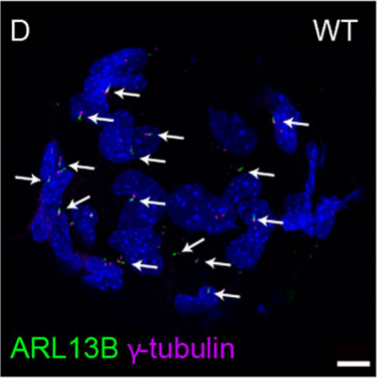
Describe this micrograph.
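Many cells carry a short green primary cilium, appearing as a tiny rod beside its nucleus. Small magenta dots, the basal bodies, lie close to the base of these cilia.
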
